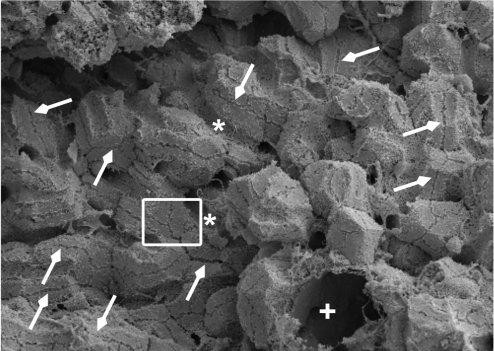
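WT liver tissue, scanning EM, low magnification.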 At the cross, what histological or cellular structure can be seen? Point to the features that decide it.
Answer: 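The cross sits in a large round dark lumen.
Conclusion: large blood vessel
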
